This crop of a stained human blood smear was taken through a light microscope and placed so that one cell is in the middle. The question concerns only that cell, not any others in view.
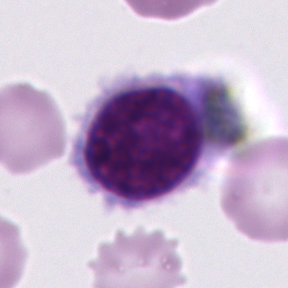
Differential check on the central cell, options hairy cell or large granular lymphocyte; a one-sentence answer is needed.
By classification, the middle cell of this crop is a hairy cell.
